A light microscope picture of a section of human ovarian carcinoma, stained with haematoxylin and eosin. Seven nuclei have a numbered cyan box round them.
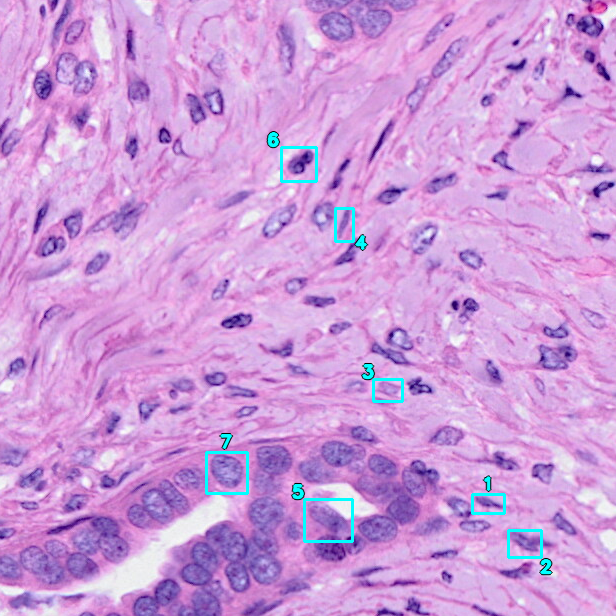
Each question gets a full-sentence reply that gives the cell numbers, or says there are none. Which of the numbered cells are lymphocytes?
Where the numbered cells are concerned, only number 6 is a lymphocyte.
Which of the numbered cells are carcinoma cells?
Into the category of carcinoma cells fall the cells numbered 5 and 7.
